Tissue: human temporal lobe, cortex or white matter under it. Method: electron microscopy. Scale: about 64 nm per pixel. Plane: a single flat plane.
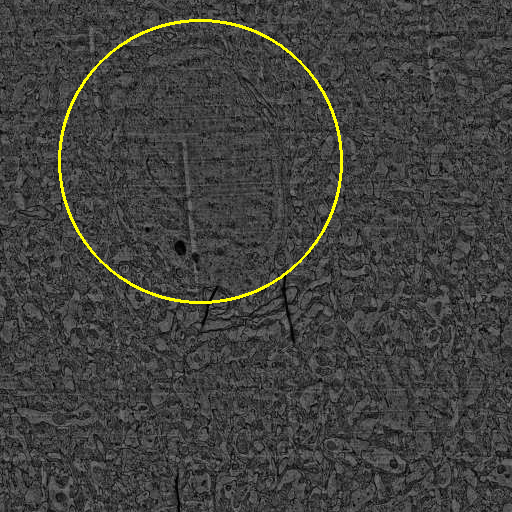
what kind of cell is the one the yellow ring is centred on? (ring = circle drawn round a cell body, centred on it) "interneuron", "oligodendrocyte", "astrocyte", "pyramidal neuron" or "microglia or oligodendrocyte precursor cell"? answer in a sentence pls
The ring is drawn around an interneuron.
